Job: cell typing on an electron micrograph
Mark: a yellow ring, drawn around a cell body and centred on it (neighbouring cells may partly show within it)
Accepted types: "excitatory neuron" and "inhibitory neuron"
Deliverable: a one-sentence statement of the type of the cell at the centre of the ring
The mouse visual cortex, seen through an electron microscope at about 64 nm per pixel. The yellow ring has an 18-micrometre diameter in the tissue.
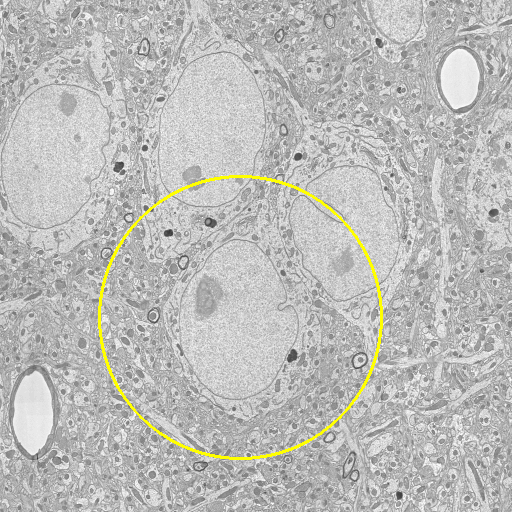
The centred cell body is that of an excitatory neuron.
